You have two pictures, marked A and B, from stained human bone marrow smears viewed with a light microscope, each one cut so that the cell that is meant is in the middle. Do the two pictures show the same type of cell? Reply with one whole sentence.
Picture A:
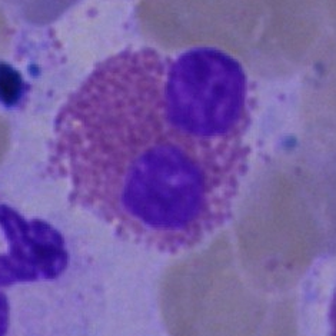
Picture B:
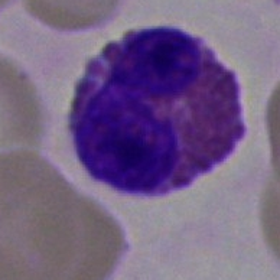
Yes; the cells in both pictures are eosinophils.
